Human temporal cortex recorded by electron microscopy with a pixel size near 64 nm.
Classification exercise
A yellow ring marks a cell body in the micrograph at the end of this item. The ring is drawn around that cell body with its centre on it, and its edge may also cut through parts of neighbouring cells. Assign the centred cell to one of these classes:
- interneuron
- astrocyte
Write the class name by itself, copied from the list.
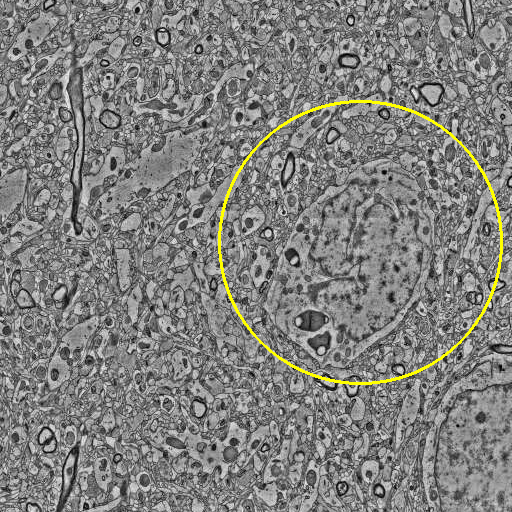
interneuron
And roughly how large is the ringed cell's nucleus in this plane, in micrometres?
The nucleus has a long axis of about 10 micrometres and a short axis of about 7 micrometres in this plane.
